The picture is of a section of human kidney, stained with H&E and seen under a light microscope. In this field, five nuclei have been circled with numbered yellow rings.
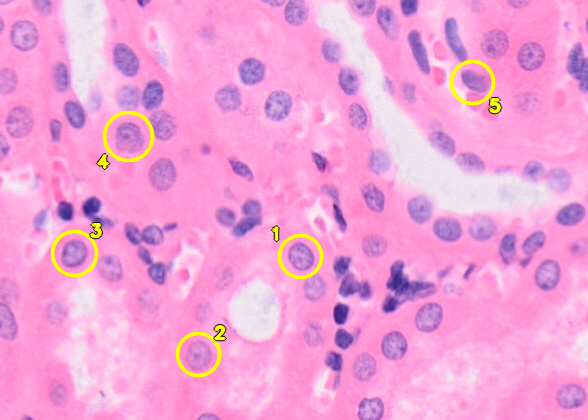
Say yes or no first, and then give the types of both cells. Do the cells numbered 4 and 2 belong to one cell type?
No, cell 4 counts as a collecting duct cell, and cell 2 counts as a proximal tubule cell.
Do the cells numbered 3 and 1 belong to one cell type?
Yes, by cell type, cells 3 and 1 are both proximal tubule cells.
